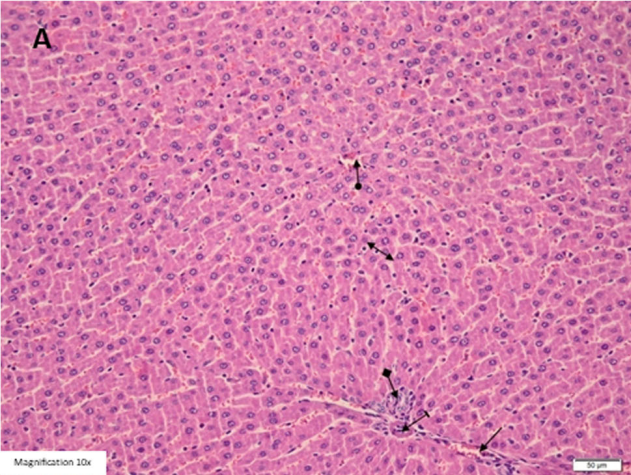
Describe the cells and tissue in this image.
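Liver parenchyma is shown, made up of hepatocytes arranged in cords that radiate across the field. The hepatocytes are polygonal with pink cytoplasm and round, centrally placed purple nuclei, some with visible nucleoli. Narrow pale sinusoidal spaces run between the cords. Near the lower centre lies a small portal area with thin fibrous tissue, small vessels and a few closely packed nuclei. The tissue architecture is regular, without hemorrhage or inflammatory infiltrate.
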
